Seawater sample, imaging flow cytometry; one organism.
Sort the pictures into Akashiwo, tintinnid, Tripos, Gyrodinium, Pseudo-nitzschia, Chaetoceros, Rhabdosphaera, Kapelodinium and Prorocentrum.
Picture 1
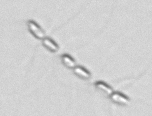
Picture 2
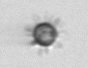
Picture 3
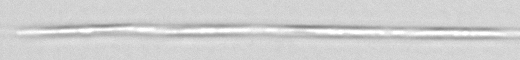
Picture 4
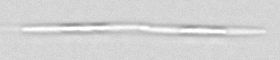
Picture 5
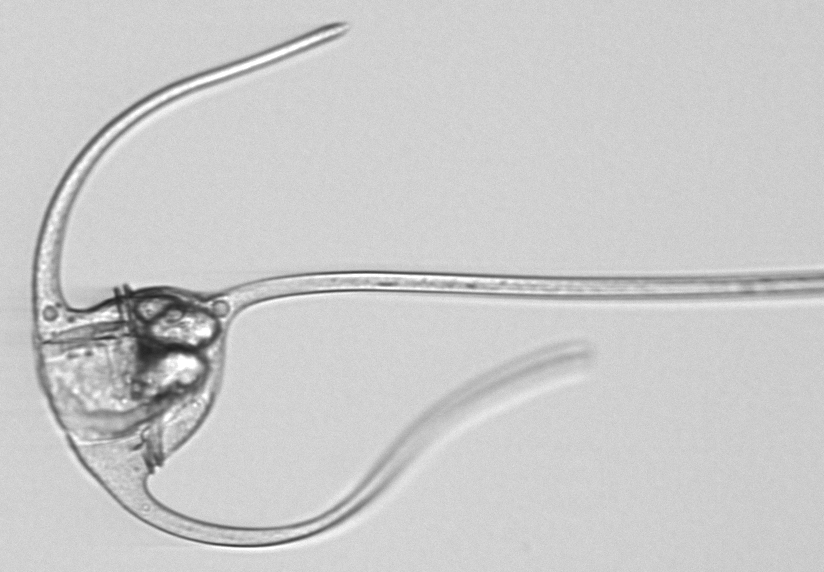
Chaetoceros: 1
Rhabdosphaera: 2
Pseudo-nitzschia: 3, 4
Tripos: 5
